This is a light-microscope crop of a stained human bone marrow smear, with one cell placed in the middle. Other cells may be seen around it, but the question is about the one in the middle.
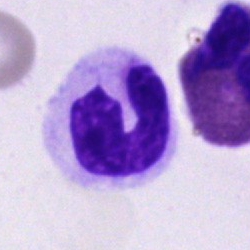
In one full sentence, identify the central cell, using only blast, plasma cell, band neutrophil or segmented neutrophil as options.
The central cell, amid any neighbouring cells, is a band neutrophil.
